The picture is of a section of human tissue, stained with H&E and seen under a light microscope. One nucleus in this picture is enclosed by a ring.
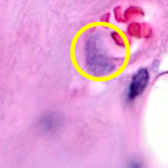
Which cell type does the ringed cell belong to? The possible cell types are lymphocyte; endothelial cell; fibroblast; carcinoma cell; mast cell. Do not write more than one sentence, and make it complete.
At the level of cell identity, the ringed cell is an endothelial cell.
